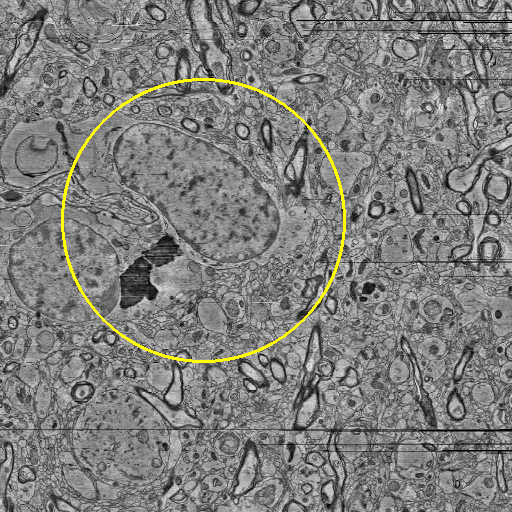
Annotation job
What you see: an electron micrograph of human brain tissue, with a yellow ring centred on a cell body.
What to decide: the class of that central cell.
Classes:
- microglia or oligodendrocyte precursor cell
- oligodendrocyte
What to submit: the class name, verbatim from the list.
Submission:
microglia or oligodendrocyte precursor cell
